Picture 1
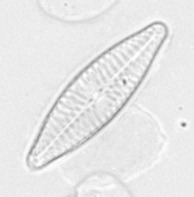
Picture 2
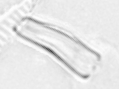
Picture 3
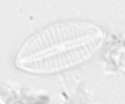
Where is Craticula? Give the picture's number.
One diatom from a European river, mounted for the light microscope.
3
